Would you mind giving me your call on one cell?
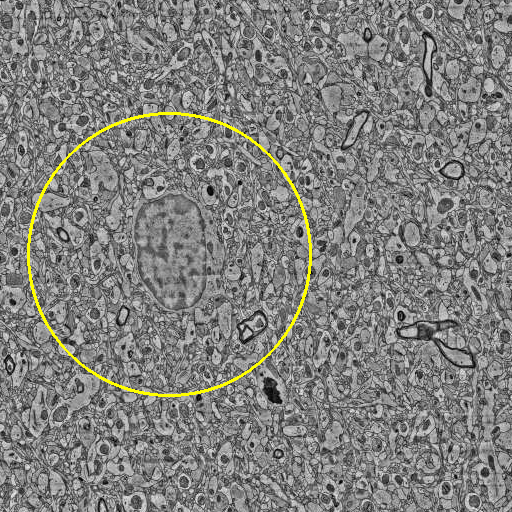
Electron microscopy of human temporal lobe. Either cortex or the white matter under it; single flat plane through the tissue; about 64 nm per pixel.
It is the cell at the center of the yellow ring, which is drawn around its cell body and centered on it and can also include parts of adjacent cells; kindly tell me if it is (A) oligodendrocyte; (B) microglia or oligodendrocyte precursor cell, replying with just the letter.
A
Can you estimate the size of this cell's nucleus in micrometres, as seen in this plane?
About 7 by 5 micrometers, in this plane.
